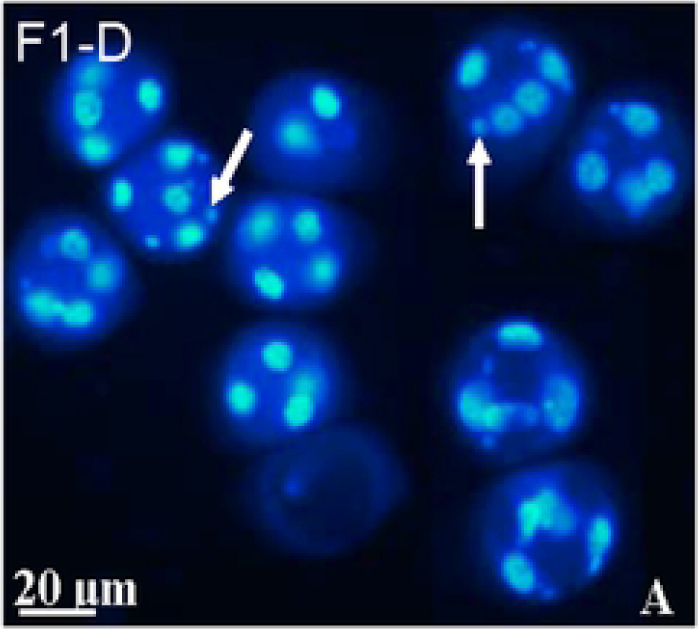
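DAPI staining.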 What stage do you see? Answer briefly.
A: tetrad phase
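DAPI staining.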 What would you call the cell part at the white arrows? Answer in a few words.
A: Micronucleus.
